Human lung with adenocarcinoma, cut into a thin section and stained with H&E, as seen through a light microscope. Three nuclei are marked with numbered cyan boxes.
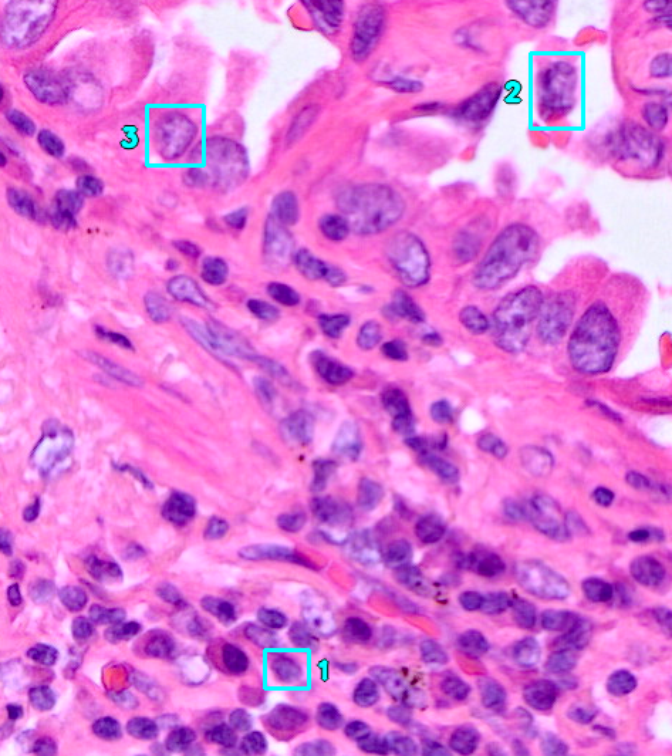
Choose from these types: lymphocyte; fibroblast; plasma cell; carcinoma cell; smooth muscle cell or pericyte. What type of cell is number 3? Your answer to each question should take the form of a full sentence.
The cell tagged with 3 in this tissue section is a carcinoma cell.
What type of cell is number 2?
Here, the cell given the number 2 is a carcinoma cell.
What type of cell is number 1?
Within this field of view, the cell labelled 1 is a lymphocyte.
